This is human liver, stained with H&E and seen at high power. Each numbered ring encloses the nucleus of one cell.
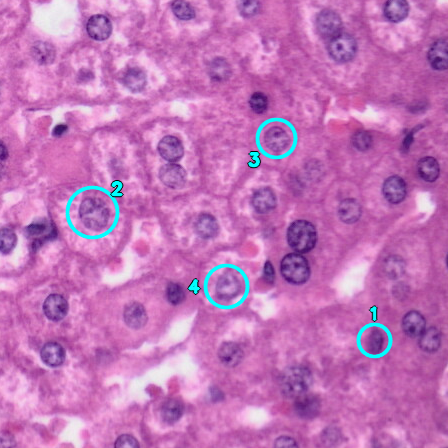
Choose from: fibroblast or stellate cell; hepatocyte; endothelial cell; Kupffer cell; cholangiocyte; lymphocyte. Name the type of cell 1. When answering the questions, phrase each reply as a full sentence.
The mark numbered 1 indicates the nucleus of a fibroblast or stellate cell.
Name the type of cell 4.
The cell pointed out as number 4 is a hepatocyte.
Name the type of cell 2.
The cell pointed out as number 2 is a hepatocyte.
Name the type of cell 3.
In the marked set, the cell given number 3 is a hepatocyte.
